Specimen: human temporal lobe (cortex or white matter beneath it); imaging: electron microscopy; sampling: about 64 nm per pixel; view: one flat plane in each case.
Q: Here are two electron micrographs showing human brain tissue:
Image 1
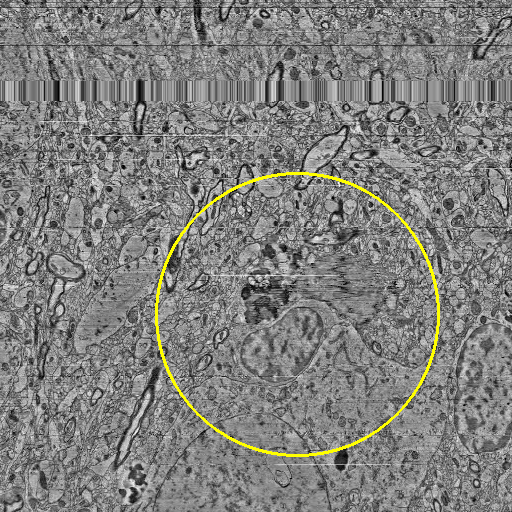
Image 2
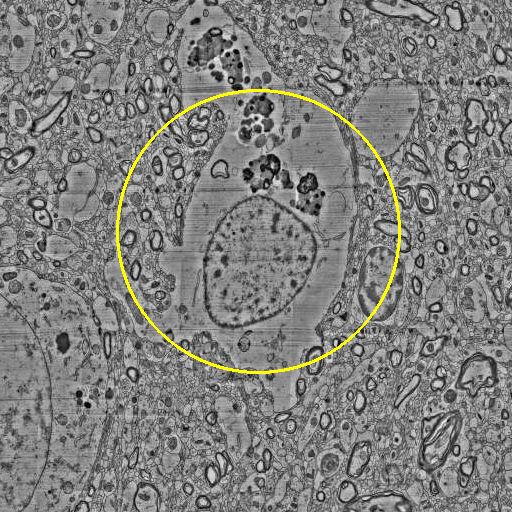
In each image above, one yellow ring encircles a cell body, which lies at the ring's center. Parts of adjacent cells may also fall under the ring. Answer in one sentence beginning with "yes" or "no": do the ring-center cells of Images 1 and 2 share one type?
No, in Images 1 and 2, the ring-center cells are of two types.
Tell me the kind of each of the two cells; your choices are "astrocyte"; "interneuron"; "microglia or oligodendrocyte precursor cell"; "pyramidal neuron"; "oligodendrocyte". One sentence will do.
The ringed cell is an oligodendrocyte in the first picture and an astrocyte in the second picture.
